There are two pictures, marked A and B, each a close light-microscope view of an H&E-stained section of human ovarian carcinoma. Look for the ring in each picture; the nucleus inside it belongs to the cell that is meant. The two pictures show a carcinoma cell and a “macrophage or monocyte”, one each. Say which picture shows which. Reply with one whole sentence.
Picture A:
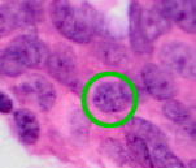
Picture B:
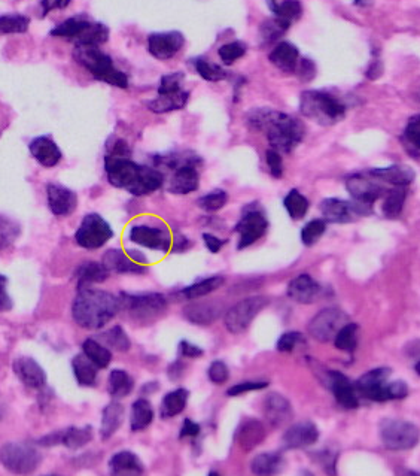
Picture B shows a carcinoma cell, while picture A shows a “macrophage or monocyte”.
